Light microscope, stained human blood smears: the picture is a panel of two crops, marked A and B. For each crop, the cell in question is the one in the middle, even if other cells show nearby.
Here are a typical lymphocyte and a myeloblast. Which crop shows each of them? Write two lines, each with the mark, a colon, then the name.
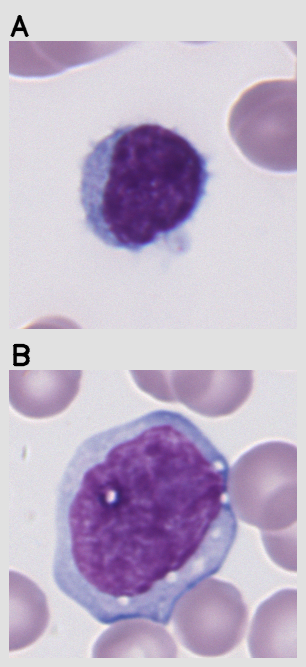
A: typical lymphocyte
B: myeloblast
